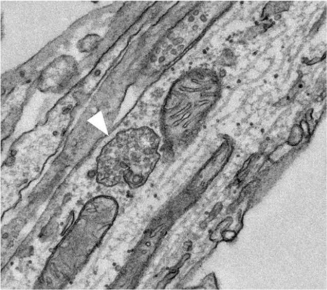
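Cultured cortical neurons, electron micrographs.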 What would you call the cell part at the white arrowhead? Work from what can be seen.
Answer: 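A round membrane-bound compartment filled with granular material lies within an elongated process. Mitochondria with cristae lie nearby for comparison. The answer: autophagic vacuoles.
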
